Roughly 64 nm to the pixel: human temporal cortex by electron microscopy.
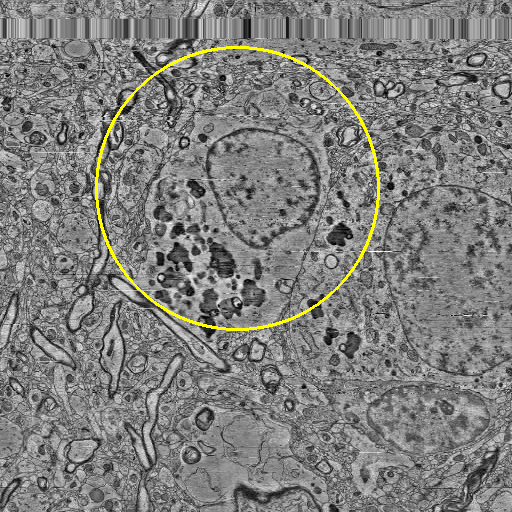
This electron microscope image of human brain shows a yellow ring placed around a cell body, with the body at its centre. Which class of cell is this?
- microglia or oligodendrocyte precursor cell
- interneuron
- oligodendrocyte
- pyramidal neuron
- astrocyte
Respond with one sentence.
The cell body at the ring's centre is an astrocyte.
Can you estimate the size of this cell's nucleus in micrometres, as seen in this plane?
In this plane, approximately 7 micrometres across.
